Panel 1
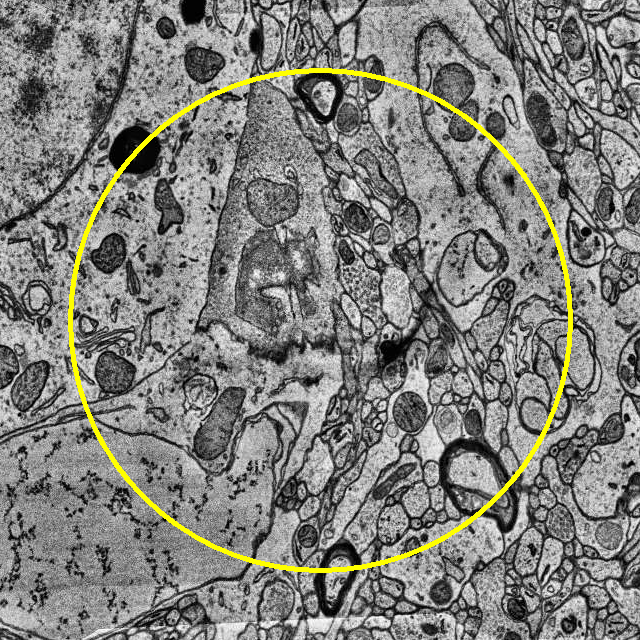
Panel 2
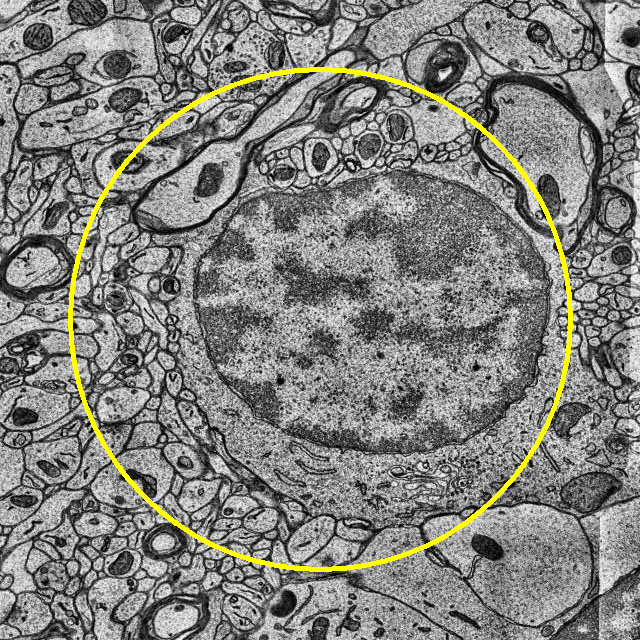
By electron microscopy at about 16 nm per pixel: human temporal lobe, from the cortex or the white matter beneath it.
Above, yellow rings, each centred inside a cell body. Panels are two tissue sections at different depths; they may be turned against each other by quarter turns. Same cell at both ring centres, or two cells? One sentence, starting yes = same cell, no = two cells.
No, in this micrograph the two rings mark two different cells.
